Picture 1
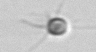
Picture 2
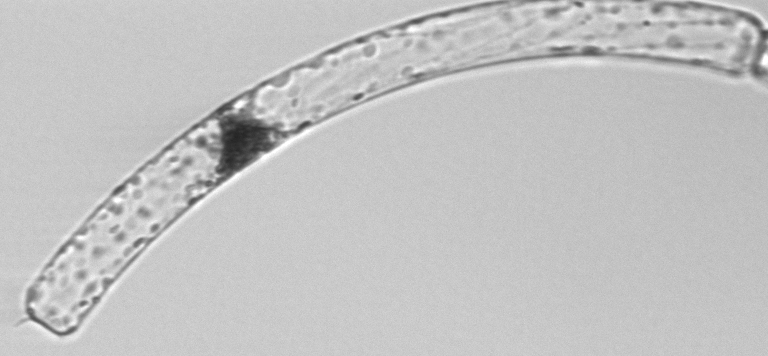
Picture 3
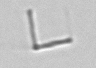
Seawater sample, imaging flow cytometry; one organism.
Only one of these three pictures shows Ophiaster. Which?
Picture 1.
